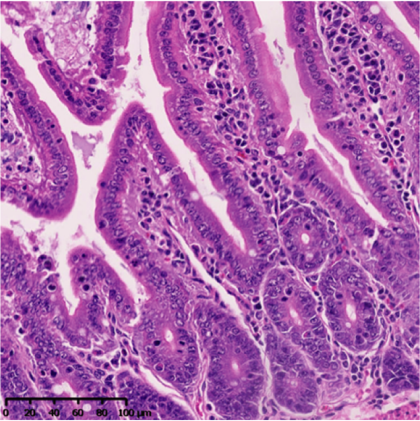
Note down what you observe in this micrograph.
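This is small intestinal mucosa with long, slender villi projecting into the lumen, separated by clear spaces. Each villus is covered by a single layer of tall columnar epithelial cells with purple nuclei near the base, around a core packed with small cells. At the bottom, crypts are cut across as round glands with small central lumens, their cells arranged radially.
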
